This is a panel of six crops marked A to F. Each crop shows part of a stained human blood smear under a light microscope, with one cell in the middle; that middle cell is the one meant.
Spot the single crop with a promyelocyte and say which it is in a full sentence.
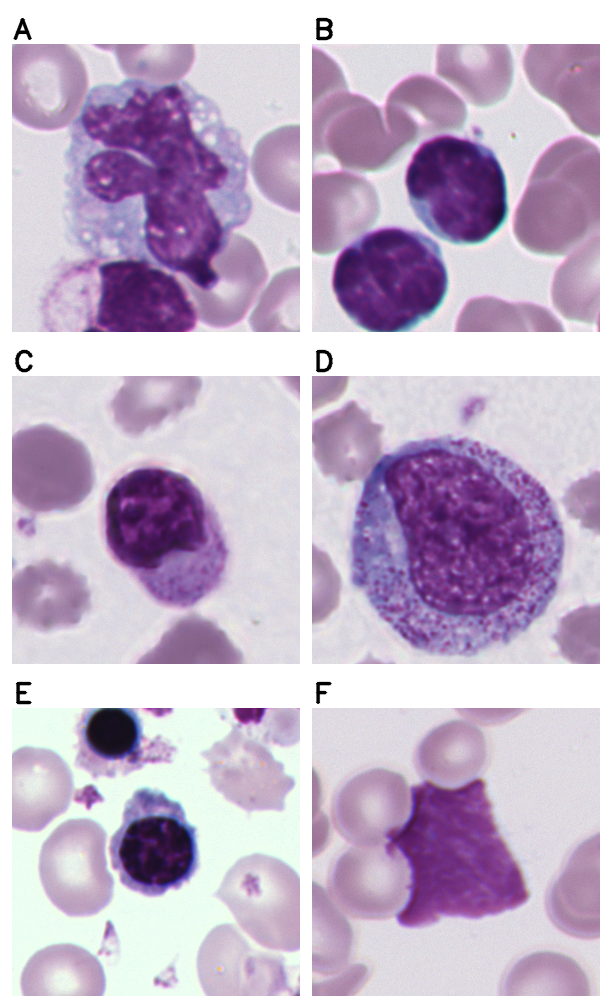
The one that shows a promyelocyte is crop D.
